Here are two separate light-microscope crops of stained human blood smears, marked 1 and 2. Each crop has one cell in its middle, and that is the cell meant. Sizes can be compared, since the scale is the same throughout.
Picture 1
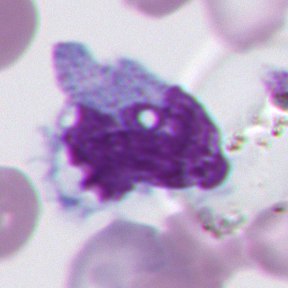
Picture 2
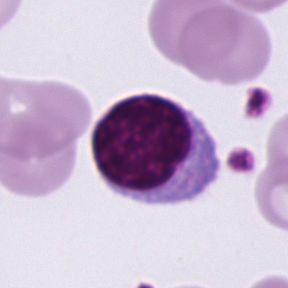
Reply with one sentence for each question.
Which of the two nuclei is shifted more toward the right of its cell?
It is the nucleus in picture 1 that lies further toward the right of its cell.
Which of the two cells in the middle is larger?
Larger is the cell in picture 1, at roughly 2 times the area of the other.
